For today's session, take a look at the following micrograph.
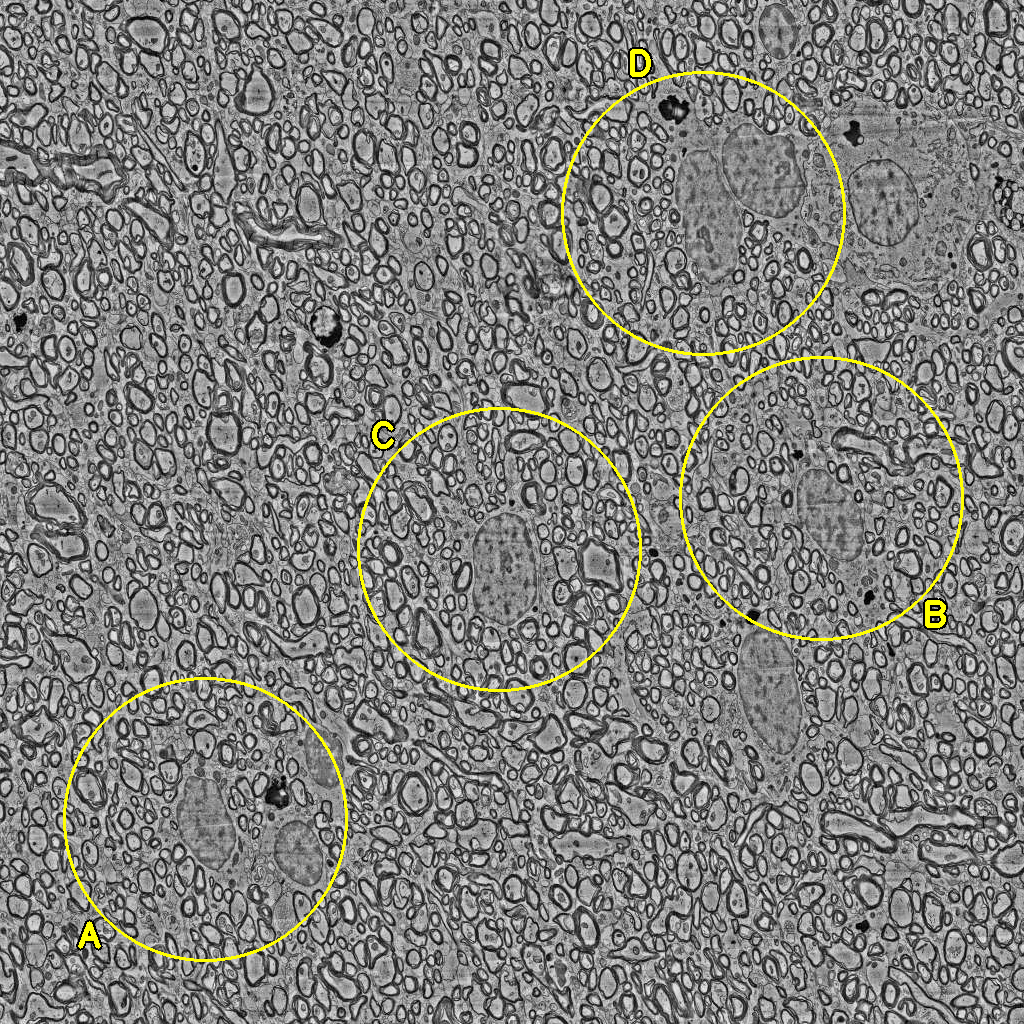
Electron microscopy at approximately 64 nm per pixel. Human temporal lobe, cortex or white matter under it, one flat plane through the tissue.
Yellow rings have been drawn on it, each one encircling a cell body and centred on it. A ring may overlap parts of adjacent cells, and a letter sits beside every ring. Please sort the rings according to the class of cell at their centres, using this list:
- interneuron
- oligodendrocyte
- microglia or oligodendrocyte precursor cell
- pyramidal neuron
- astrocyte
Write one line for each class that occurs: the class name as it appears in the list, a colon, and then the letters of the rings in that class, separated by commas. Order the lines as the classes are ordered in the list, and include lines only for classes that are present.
oligodendrocyte: A, B, D
microglia or oligodendrocyte precursor cell: C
